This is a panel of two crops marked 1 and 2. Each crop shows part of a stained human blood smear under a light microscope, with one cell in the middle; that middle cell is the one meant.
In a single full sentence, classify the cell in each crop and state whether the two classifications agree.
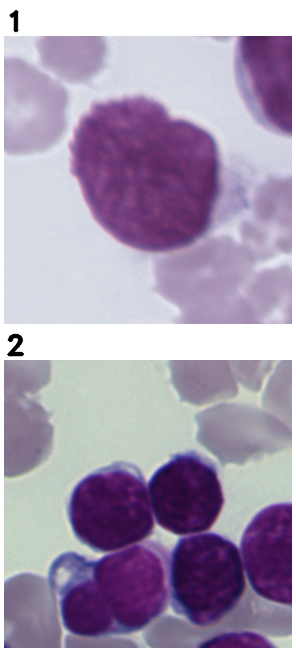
Yes, what both crops show at their centres are blasts.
